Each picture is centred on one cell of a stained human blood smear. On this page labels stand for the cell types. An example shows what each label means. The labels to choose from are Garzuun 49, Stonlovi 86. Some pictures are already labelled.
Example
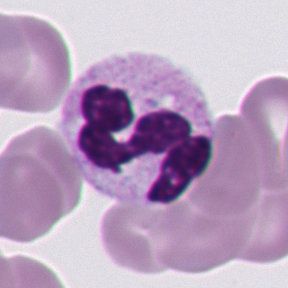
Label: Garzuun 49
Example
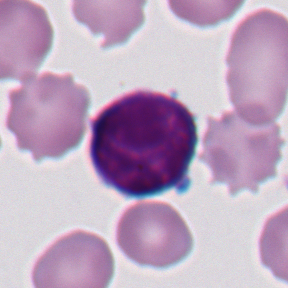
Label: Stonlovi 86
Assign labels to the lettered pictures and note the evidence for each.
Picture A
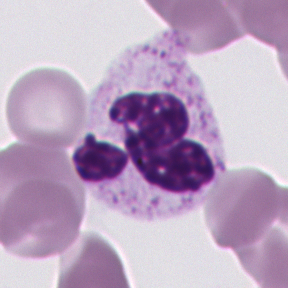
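Garzuun 49: The cytoplasm is plentiful and pale pinkish-lilac.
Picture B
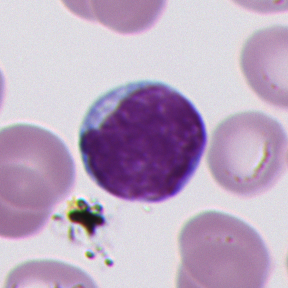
Stonlovi 86: The cytoplasm is a scant rim that is widest at the upper left.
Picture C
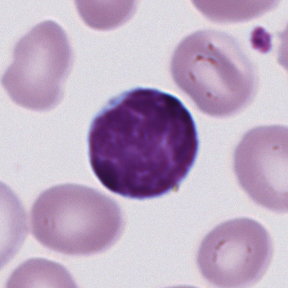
Stonlovi 86: The cytoplasm shows only as a thin pale blue crescent at the upper left edge.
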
